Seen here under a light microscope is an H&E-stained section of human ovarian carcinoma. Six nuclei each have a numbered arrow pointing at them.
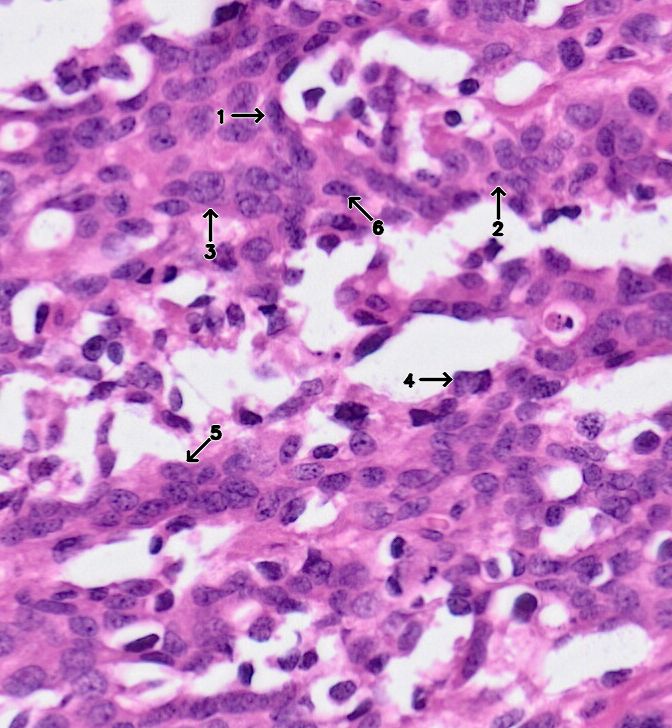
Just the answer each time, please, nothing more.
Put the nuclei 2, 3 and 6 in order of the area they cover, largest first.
3, 6, 2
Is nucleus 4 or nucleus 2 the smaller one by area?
2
